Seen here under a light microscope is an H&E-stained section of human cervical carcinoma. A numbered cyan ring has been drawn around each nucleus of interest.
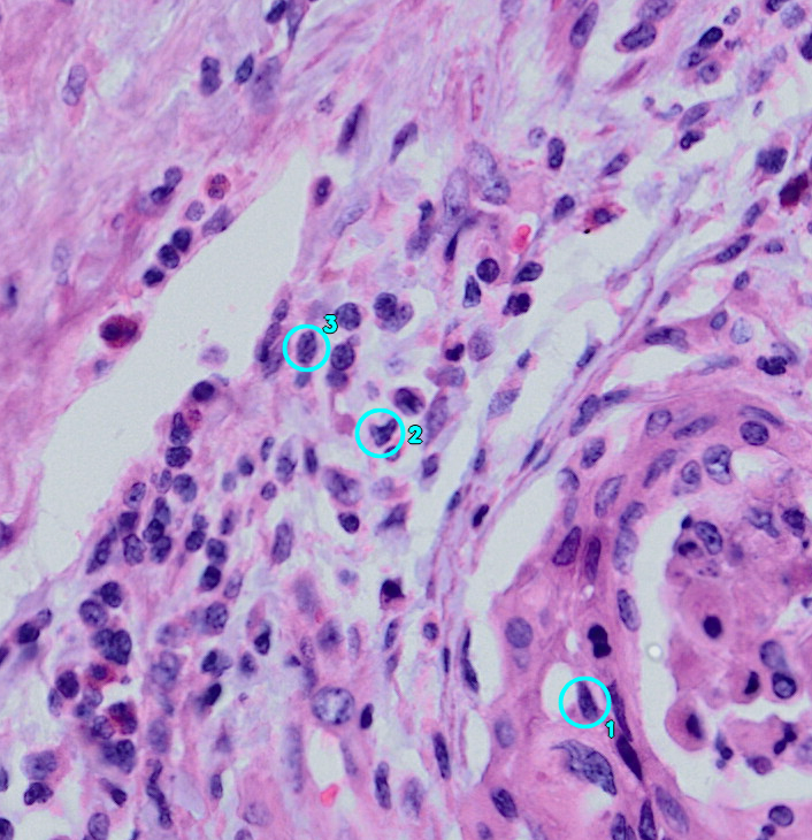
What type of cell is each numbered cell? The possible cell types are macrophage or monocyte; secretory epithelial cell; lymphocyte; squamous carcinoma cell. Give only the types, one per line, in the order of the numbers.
squamous carcinoma cell
lymphocyte
lymphocyte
